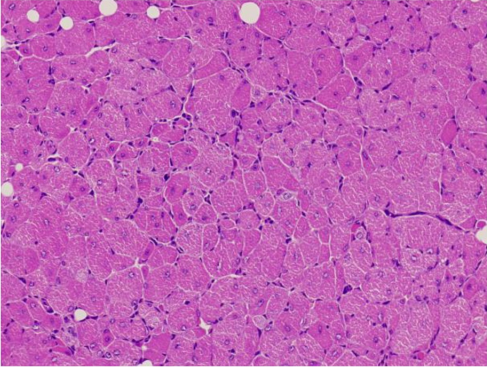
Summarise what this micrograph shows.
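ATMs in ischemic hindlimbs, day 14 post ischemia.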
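This is a cross section of skeletal muscle in which myofibers are cut across as smaller, closely packed polygonal profiles. Their pink cytoplasm looks paler and finely mottled rather than smooth. Many fibers carry a small round nucleus near the center of the profile. Between the fibers run thin purple-stained strands with numerous small nuclei, and a few round empty spaces are scattered through the section.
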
